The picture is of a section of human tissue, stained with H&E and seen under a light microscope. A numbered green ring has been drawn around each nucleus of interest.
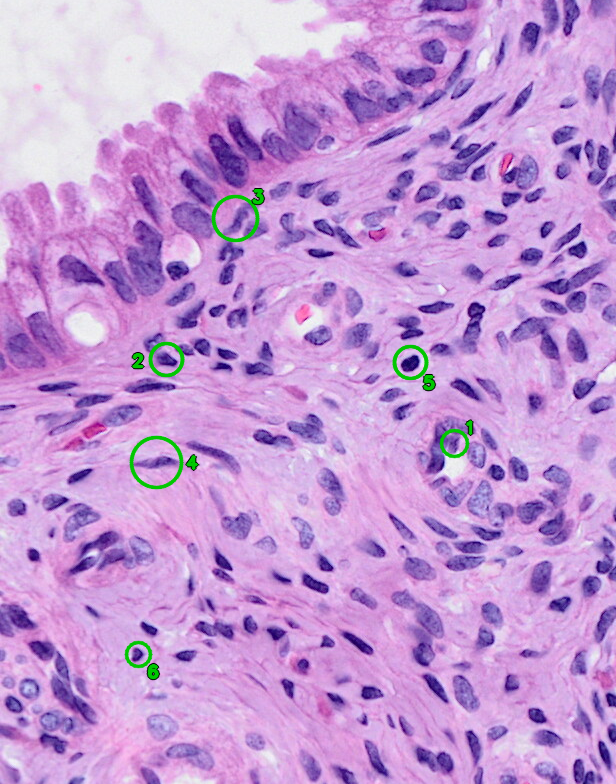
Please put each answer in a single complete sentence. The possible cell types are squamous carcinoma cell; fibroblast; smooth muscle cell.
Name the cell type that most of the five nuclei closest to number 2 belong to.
Most of the five nuclei nearest to number 2 are those of fibroblasts.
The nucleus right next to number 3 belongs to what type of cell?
The nearest nucleus to number 3 belongs to a fibroblast.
